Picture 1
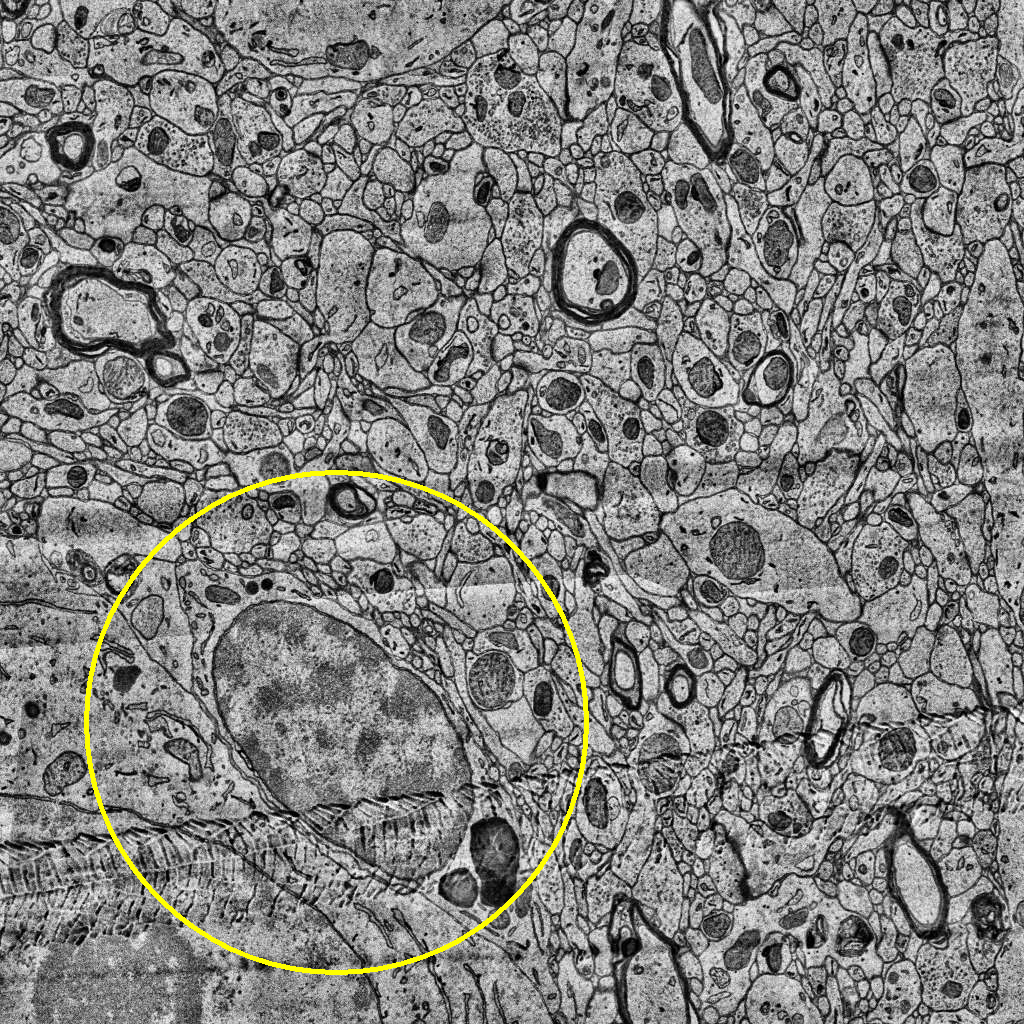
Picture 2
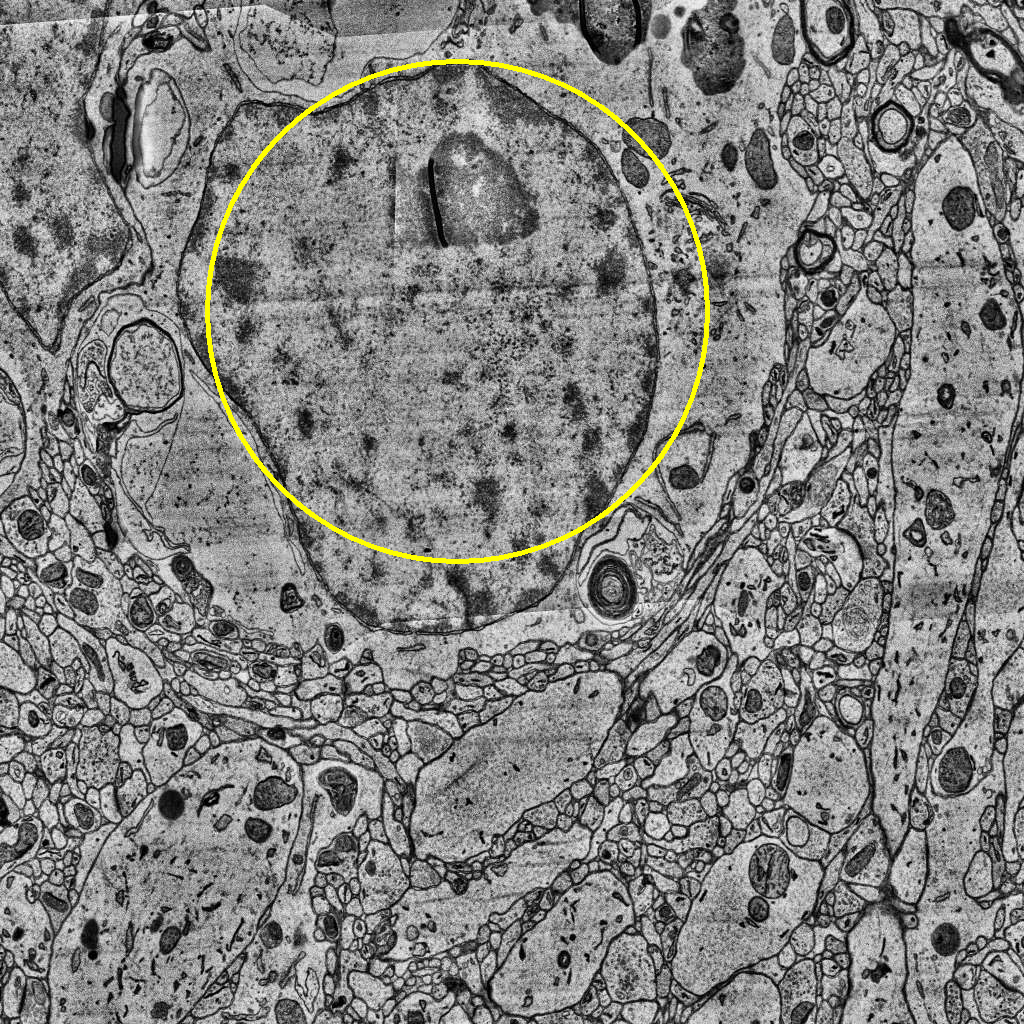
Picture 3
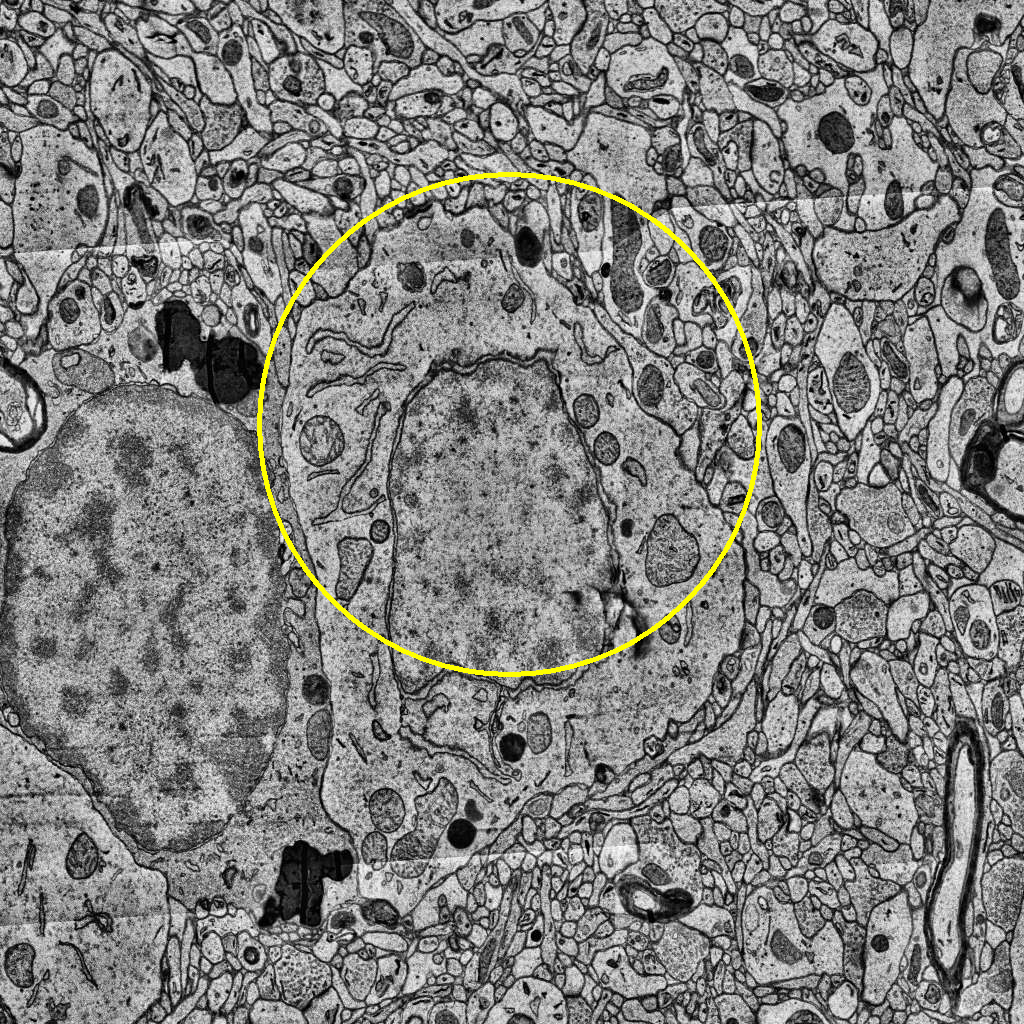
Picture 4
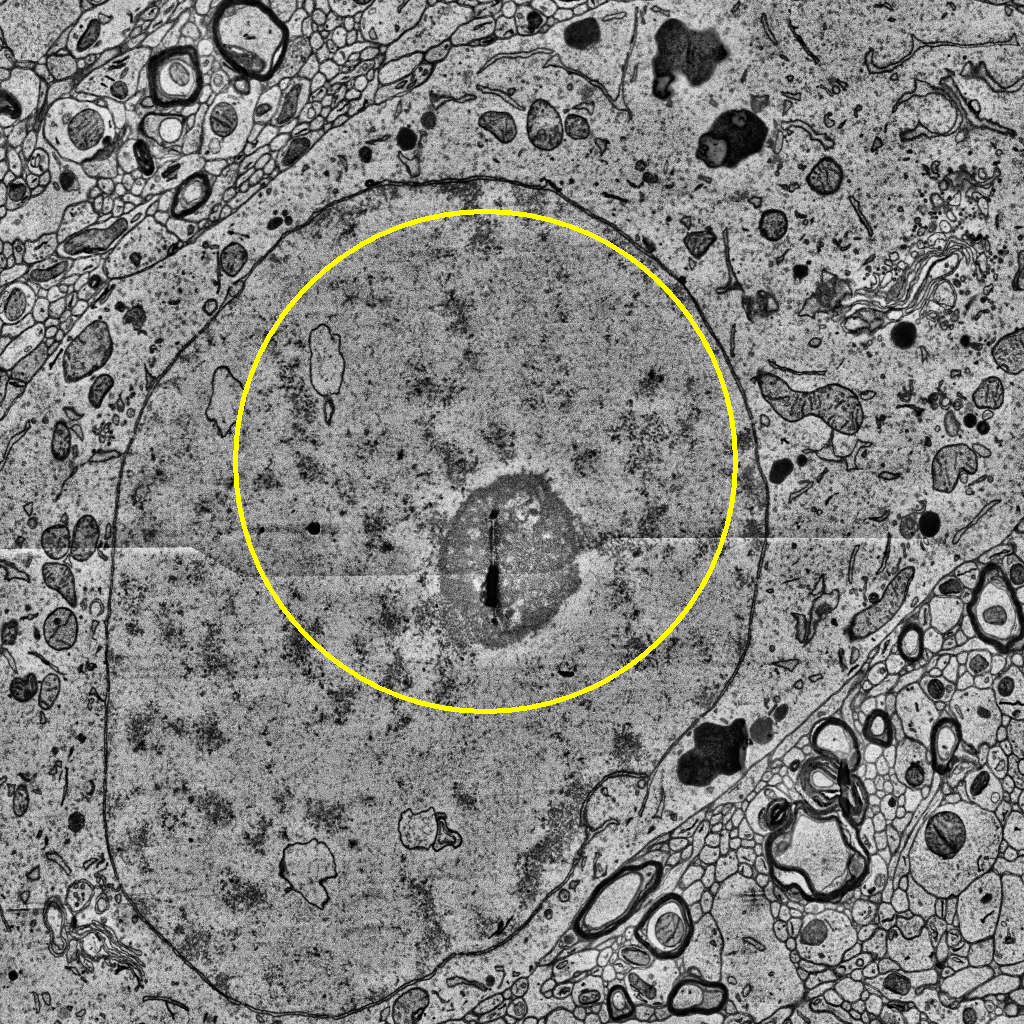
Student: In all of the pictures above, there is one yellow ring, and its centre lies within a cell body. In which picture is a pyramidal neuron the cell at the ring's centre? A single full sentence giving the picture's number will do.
Picture number 4 has the centre of its ring lying inside the wanted cell.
